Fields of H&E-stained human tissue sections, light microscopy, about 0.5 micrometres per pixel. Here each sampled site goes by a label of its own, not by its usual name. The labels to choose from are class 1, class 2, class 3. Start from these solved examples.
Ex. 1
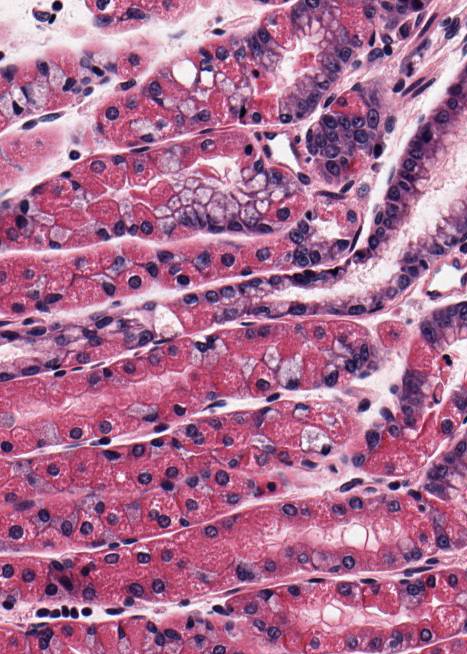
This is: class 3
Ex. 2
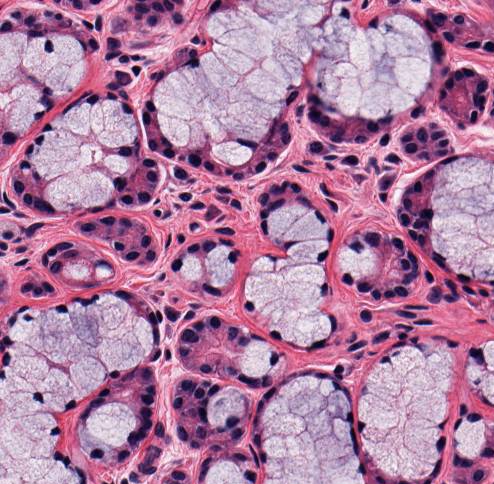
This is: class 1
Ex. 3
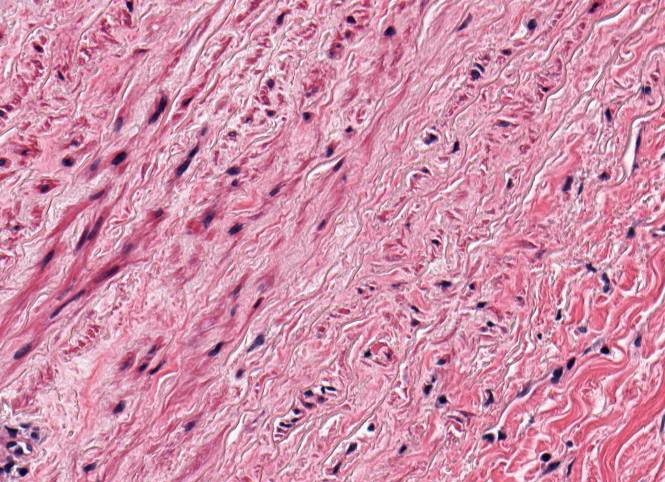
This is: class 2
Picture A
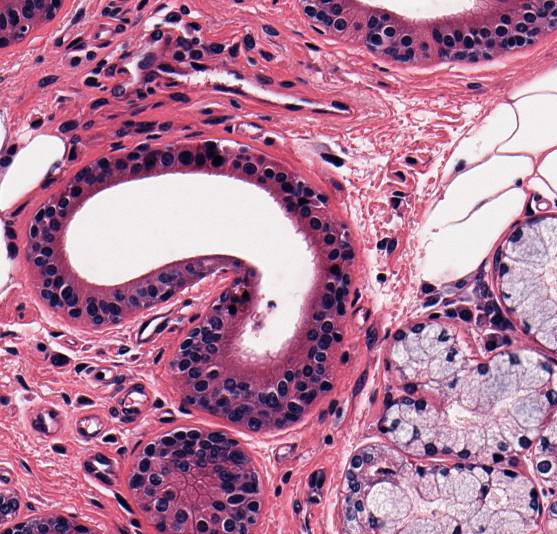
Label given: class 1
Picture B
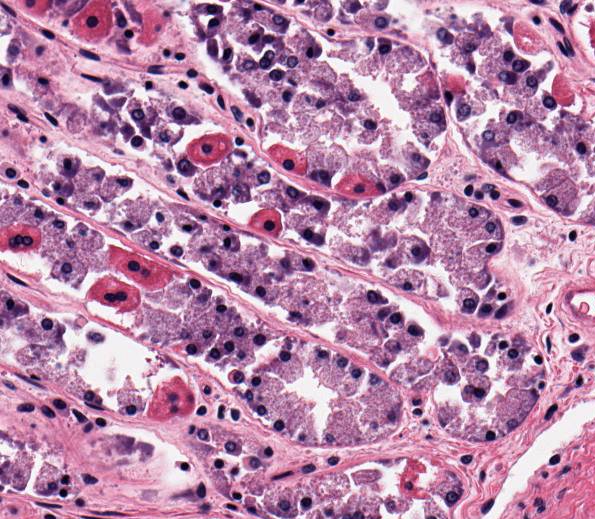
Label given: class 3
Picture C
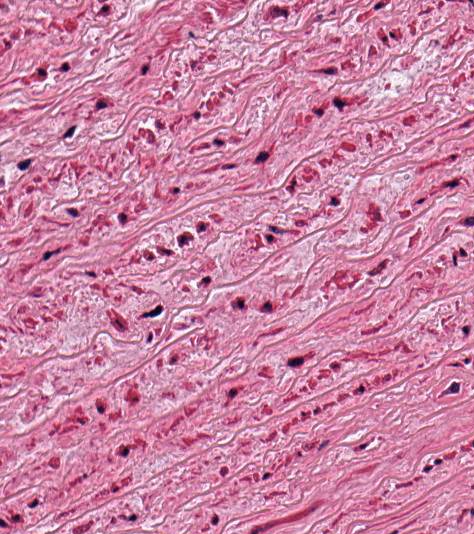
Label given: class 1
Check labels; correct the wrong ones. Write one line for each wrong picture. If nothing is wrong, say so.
C should be class 2, not class 1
